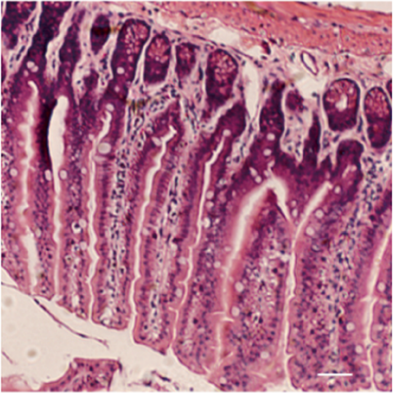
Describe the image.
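This is a section of small intestinal wall with the muscular layer along the top and long, finger-like villi hanging down into the lumen. Each villus is covered by a single layer of tall columnar epithelial cells with purple nuclei, interrupted by scattered pale, rounded goblet cells. The villus cores hold a loose lamina propria crowded with small dark nuclei, and near the base the crypts appear as rounded glands just beneath the pink muscle.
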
